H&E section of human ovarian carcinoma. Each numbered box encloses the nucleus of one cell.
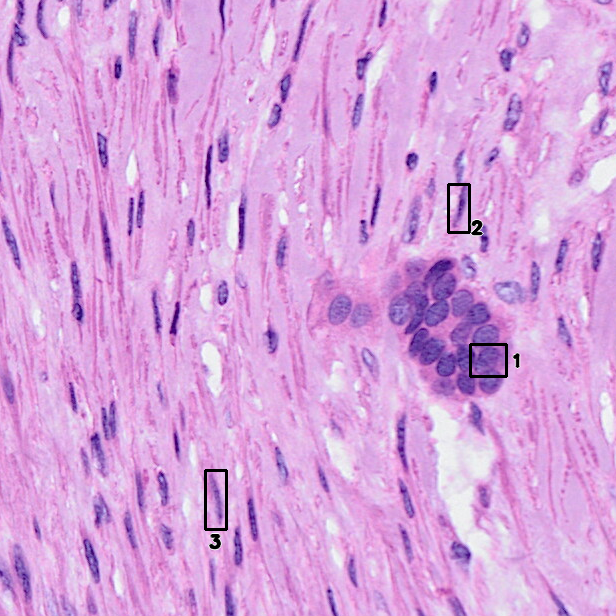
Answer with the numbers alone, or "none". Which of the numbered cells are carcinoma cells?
1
